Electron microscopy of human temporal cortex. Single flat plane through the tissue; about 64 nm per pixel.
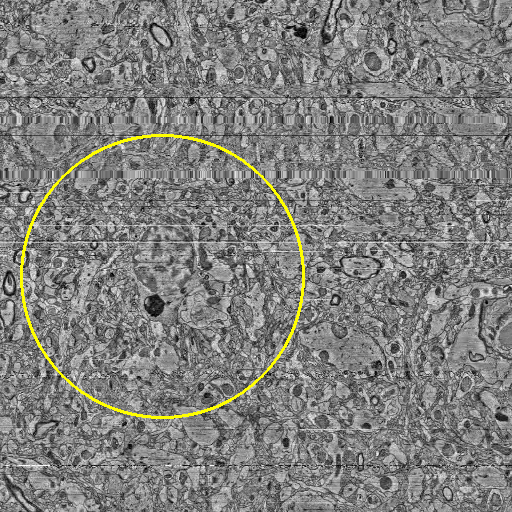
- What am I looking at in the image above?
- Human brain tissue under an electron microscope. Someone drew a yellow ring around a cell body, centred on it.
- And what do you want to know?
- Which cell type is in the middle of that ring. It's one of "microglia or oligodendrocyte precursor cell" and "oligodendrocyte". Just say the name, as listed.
oligodendrocyte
